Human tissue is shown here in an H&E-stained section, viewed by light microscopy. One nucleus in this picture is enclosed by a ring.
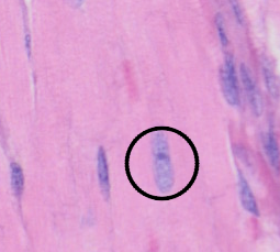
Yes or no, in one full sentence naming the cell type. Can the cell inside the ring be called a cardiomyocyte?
Yes, the cell inside the ring is, by type, a cardiomyocyte.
